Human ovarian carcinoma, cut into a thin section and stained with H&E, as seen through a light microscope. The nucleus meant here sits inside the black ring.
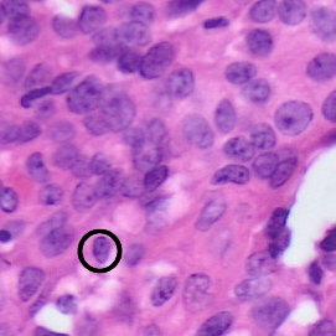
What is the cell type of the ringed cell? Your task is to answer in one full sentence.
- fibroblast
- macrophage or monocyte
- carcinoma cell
It is a macrophage or monocyte that the ringed cell represents.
